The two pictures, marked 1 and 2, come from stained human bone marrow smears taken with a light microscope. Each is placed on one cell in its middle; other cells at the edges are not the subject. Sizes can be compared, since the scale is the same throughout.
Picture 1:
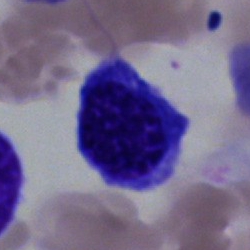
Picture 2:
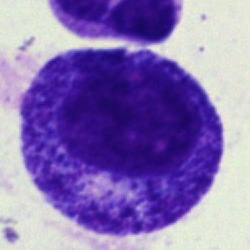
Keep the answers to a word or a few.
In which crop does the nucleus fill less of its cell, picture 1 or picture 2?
2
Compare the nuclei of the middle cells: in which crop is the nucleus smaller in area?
1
